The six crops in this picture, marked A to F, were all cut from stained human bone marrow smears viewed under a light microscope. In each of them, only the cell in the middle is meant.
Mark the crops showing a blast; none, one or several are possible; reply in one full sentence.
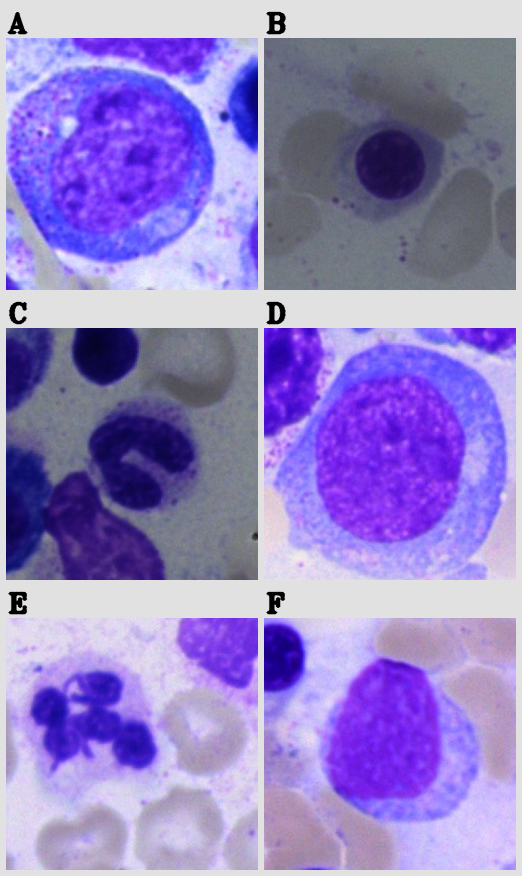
Shown in the centre of crops D and F are blasts.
